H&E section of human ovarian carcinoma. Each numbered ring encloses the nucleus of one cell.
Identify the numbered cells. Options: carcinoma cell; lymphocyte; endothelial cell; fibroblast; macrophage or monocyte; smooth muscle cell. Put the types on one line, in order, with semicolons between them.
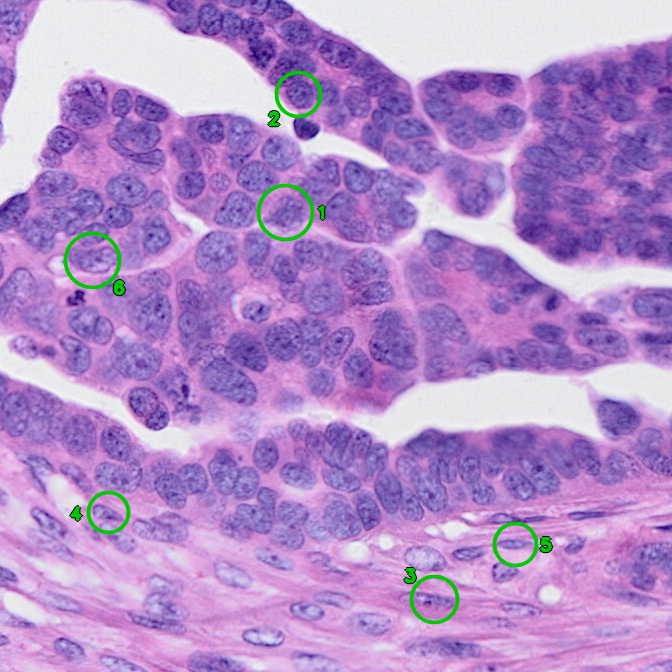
carcinoma cell; carcinoma cell; fibroblast; fibroblast; fibroblast; carcinoma cell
